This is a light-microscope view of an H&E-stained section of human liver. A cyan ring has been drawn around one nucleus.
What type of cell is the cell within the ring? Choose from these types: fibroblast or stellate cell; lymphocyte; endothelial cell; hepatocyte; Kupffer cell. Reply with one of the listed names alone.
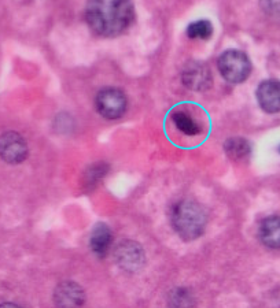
fibroblast or stellate cell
